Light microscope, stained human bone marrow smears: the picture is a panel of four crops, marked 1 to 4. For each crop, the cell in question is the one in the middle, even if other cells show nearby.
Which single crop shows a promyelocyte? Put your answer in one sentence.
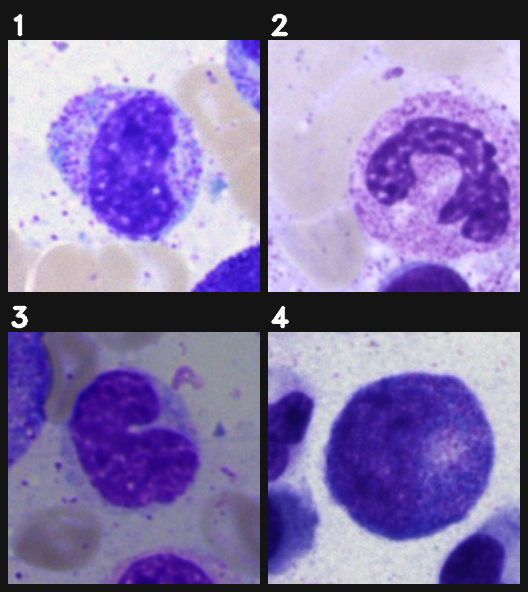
Crop 4, of the crops presented, is the one showing a promyelocyte.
